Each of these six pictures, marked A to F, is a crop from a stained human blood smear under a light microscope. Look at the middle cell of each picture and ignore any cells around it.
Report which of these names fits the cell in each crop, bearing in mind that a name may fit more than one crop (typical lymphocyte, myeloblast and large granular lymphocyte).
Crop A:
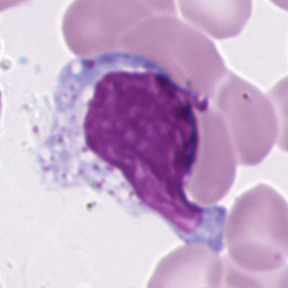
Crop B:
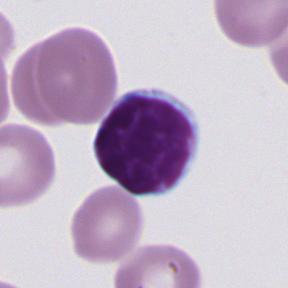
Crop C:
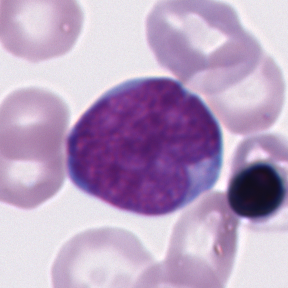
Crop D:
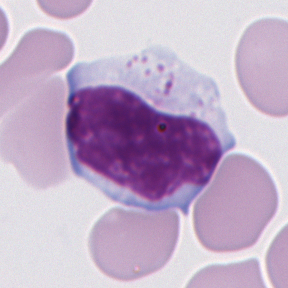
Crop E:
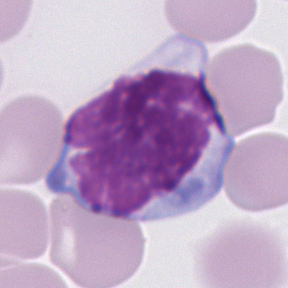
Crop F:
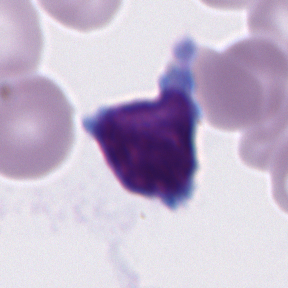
A: large granular lymphocyte
B: typical lymphocyte
C: myeloblast
D: large granular lymphocyte
E: typical lymphocyte
F: typical lymphocyte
